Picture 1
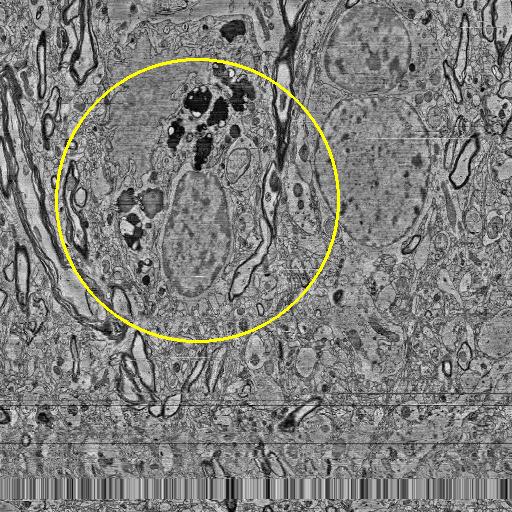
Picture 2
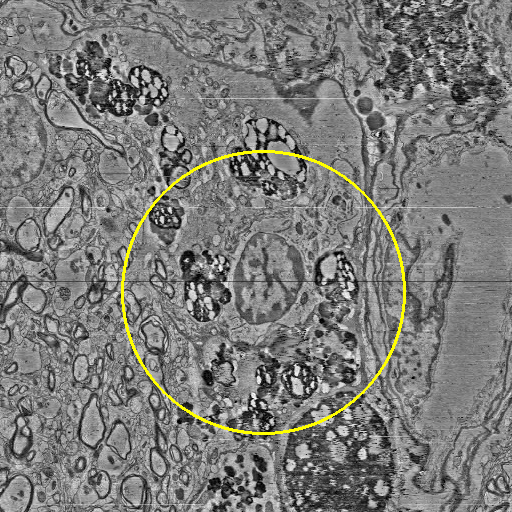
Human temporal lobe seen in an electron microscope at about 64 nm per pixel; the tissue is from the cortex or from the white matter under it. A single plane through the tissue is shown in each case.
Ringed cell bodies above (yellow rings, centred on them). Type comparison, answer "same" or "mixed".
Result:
mixed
